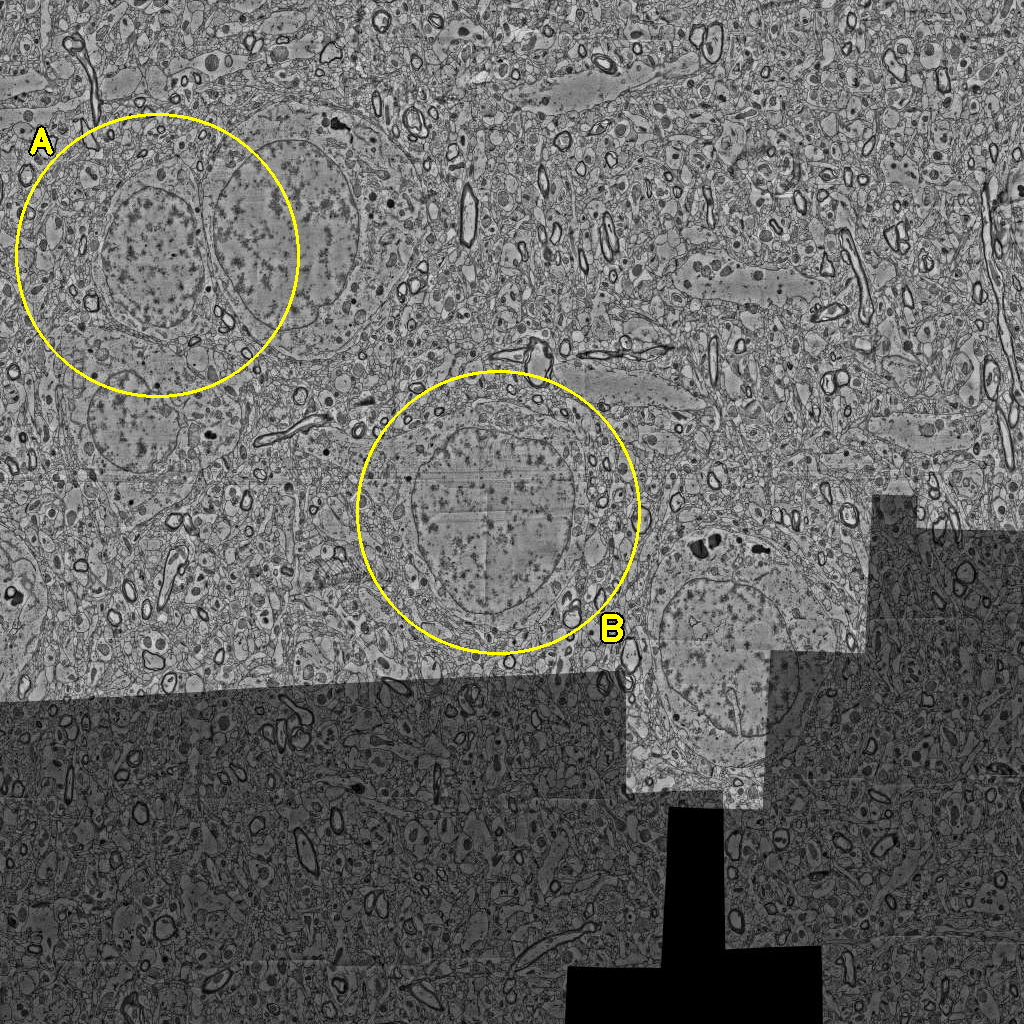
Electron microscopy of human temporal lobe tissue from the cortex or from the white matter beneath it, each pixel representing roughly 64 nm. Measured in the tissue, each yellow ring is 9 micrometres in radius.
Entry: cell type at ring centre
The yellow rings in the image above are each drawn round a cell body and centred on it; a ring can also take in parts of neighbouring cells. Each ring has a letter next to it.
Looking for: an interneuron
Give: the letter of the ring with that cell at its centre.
A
